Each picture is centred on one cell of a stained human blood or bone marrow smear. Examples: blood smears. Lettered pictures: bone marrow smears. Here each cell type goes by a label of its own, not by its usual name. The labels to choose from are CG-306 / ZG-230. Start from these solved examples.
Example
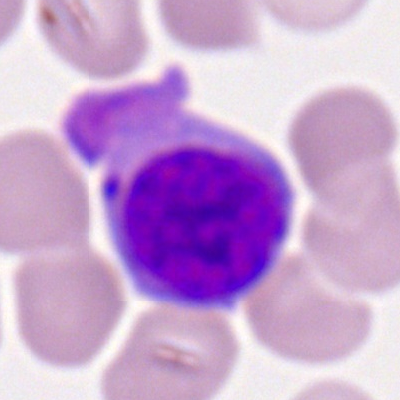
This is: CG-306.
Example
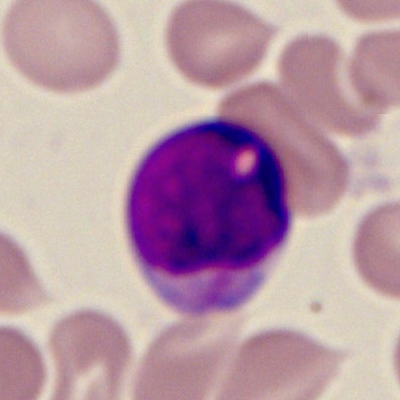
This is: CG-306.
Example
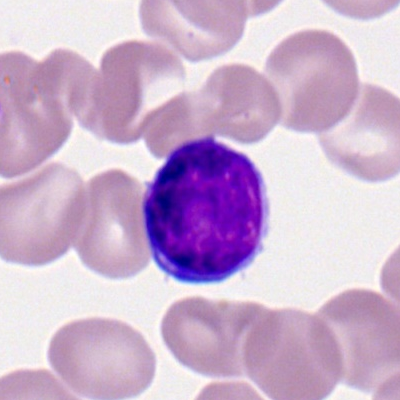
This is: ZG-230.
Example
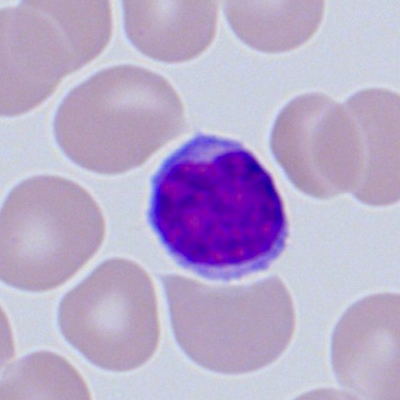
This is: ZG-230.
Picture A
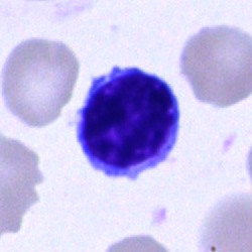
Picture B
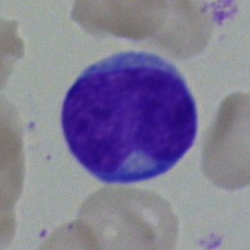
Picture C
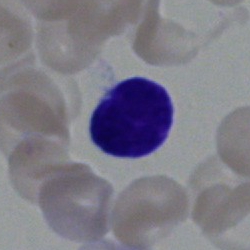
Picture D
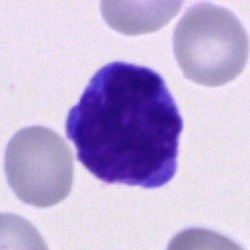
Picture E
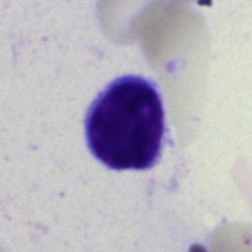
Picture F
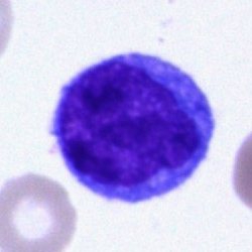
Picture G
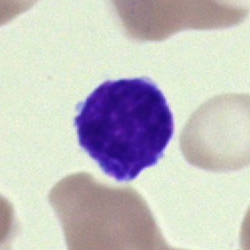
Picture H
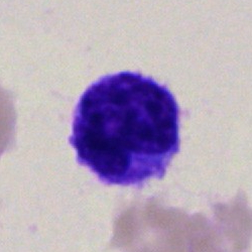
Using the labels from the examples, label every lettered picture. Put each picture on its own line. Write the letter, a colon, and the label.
A: ZG-230.
B: CG-306.
C: ZG-230.
D: CG-306.
E: ZG-230.
F: CG-306.
G: ZG-230.
H: ZG-230.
